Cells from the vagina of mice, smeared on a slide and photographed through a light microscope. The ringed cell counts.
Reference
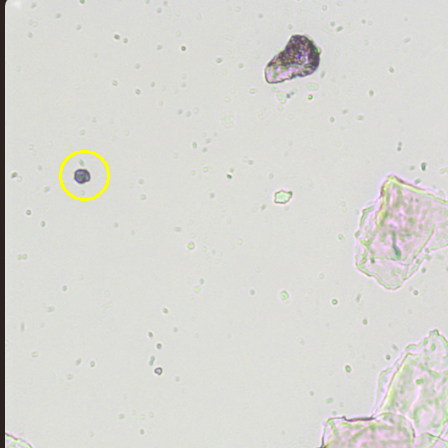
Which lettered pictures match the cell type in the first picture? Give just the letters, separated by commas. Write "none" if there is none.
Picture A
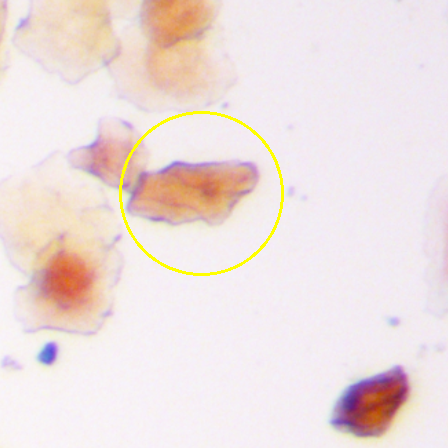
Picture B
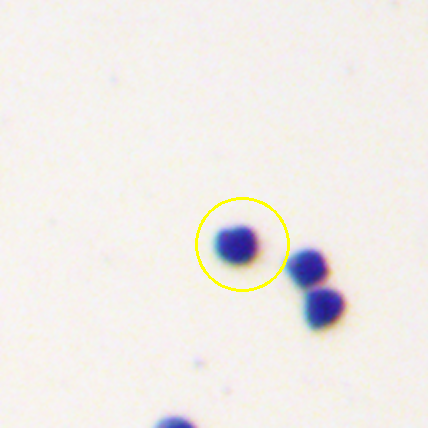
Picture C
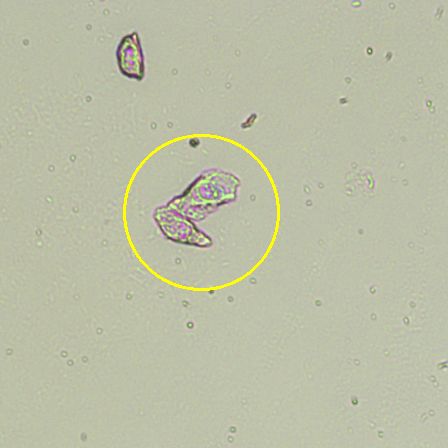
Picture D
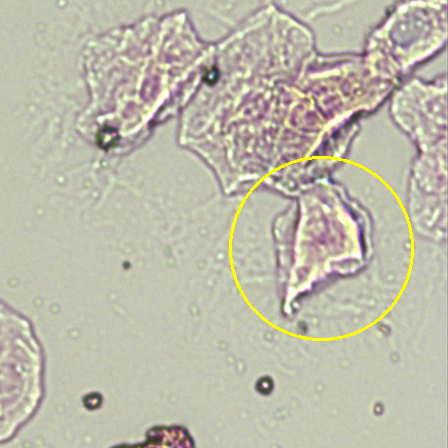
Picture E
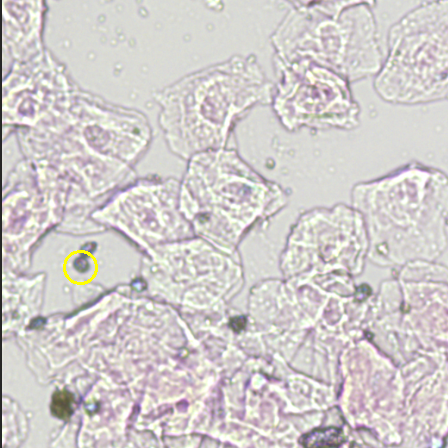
B, E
